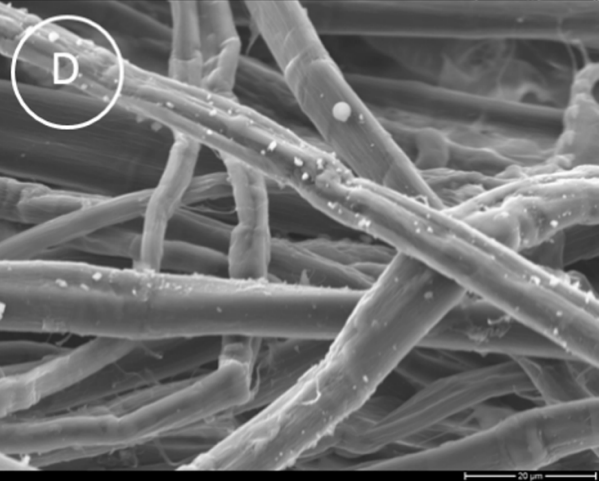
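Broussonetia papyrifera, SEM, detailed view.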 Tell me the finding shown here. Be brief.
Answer: variations in fiber thickness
